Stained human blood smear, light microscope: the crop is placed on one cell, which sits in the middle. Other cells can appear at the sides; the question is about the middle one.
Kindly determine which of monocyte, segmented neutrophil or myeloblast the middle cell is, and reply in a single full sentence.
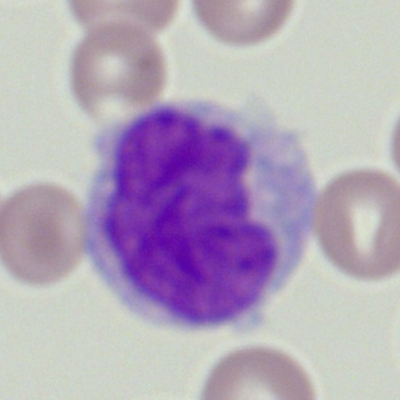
What sits at the centre of this crop is a monocyte.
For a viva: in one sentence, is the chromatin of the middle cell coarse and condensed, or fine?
The chromatin is delicate and fine, lacking coarse clumping entirely.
